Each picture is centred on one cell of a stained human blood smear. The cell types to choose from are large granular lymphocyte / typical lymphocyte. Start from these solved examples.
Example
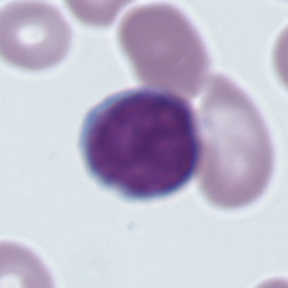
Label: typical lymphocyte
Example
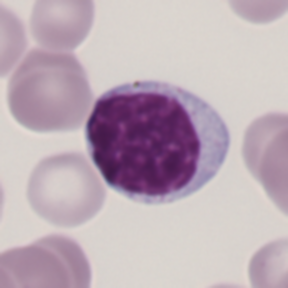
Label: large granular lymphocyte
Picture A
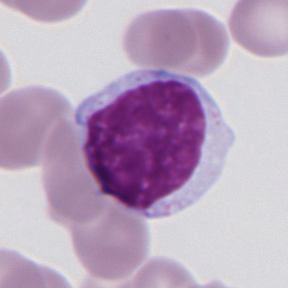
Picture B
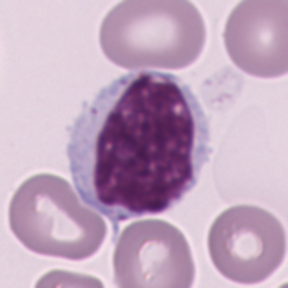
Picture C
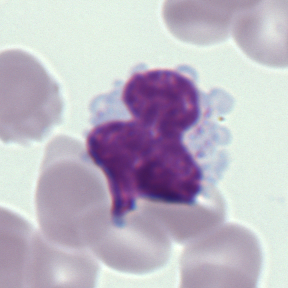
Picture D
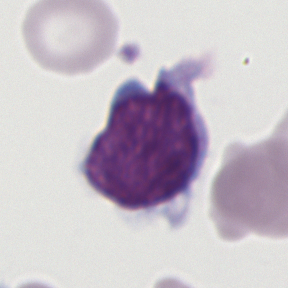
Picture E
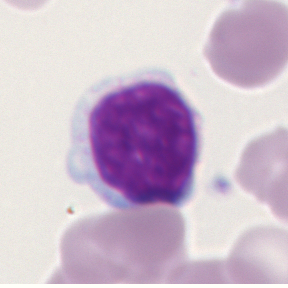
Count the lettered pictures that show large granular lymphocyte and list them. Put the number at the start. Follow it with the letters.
Count: 4 (A, B, C, E)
